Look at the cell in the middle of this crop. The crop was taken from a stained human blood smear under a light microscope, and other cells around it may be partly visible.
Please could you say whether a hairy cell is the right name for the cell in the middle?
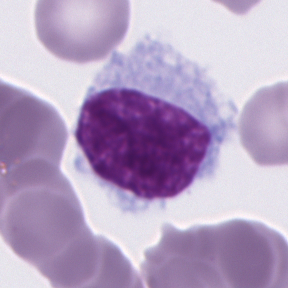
yes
